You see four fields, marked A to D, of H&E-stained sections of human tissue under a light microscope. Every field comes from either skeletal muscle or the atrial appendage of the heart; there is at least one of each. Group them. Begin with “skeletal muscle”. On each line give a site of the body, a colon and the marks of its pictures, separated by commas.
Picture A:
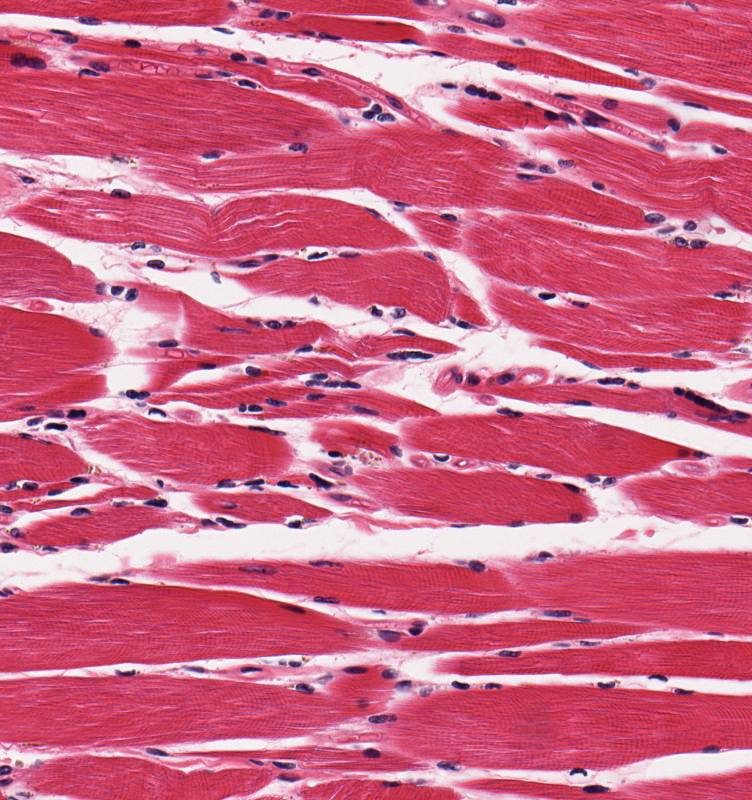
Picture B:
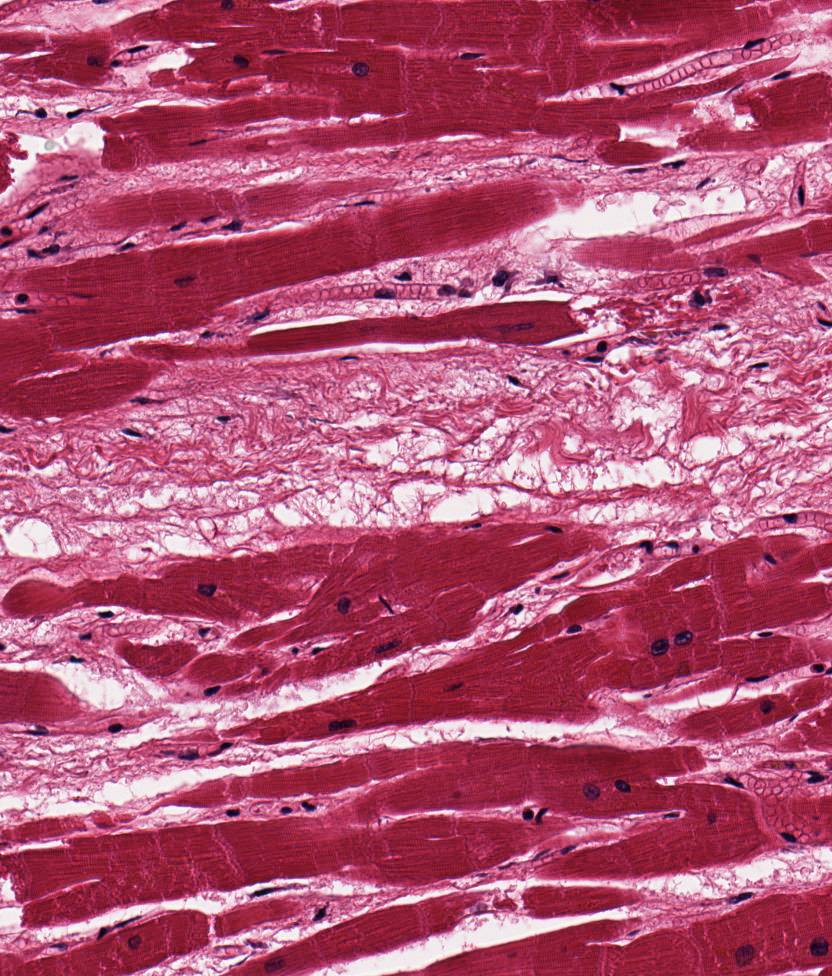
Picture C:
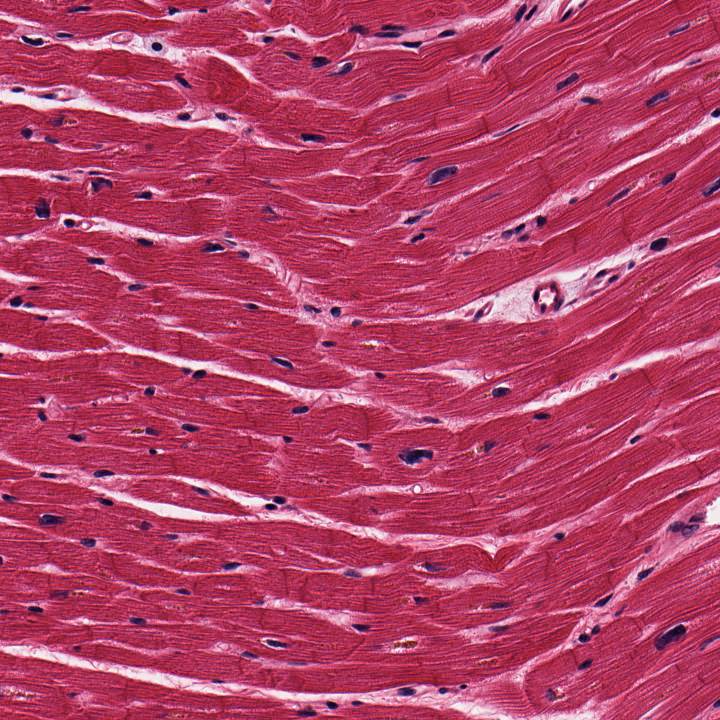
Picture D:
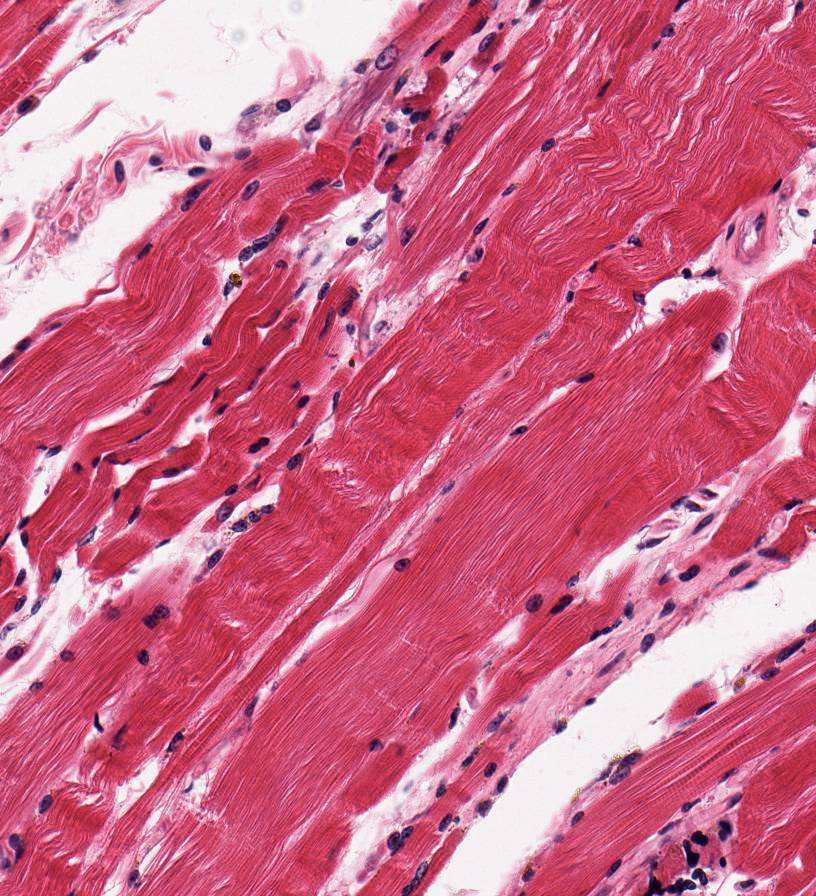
skeletal muscle: A, D
atrial appendage of the heart: B, C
